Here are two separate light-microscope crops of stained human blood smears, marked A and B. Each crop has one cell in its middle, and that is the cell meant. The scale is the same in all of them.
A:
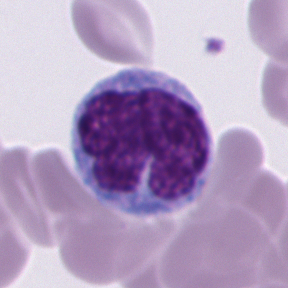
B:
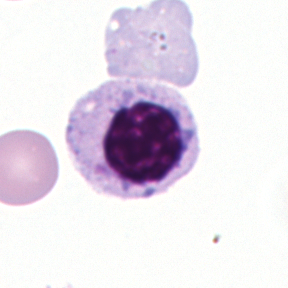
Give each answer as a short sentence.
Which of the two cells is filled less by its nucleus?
It is the cell in crop B that is filled less by its nucleus.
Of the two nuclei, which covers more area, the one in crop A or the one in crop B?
The nucleus in crop A is larger, with about 2.5 times the area of the one in crop B.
